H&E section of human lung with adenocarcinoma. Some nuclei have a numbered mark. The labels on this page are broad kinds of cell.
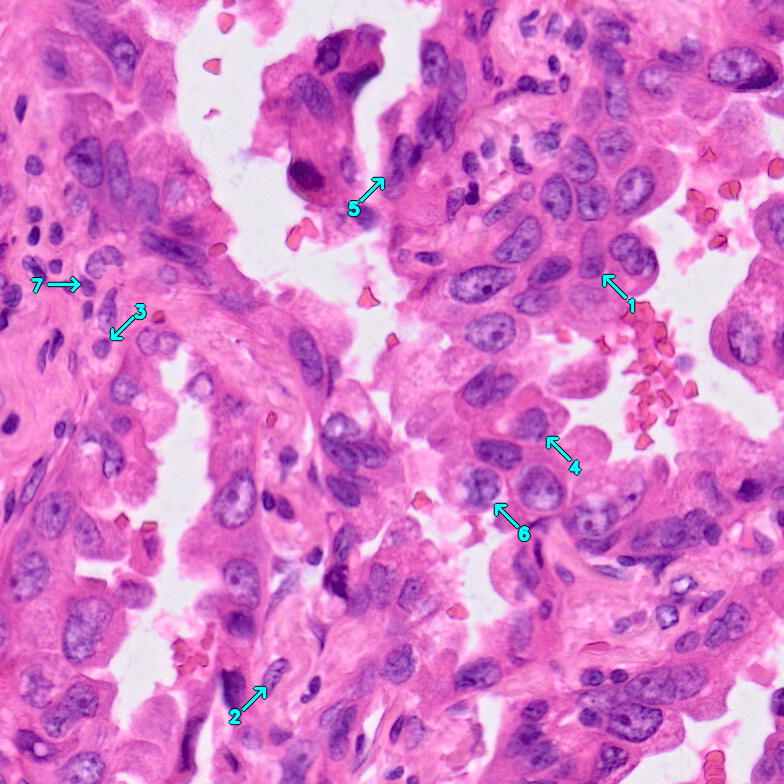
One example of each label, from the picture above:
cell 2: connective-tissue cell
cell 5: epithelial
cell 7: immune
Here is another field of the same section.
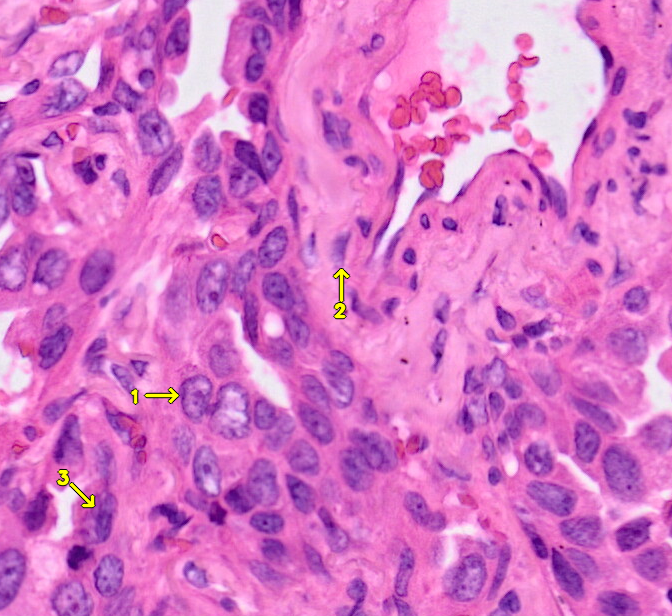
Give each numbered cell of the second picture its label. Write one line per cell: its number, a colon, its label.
1: epithelial
2: connective-tissue cell
3: epithelial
